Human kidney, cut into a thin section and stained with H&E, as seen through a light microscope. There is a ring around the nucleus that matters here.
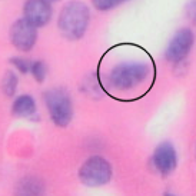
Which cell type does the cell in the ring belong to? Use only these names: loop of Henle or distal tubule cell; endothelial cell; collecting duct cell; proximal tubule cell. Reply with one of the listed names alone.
collecting duct cell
